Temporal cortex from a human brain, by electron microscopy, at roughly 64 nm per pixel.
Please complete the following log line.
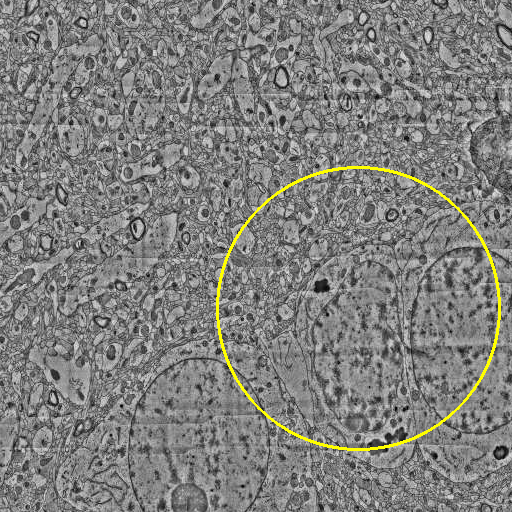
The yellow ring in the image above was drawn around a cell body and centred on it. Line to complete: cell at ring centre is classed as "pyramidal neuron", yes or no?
no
